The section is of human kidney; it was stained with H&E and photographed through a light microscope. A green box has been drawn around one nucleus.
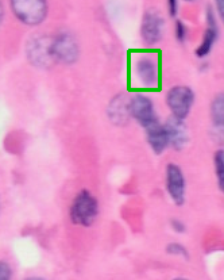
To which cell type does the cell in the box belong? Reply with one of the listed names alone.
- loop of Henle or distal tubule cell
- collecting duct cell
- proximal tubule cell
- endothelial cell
loop of Henle or distal tubule cell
